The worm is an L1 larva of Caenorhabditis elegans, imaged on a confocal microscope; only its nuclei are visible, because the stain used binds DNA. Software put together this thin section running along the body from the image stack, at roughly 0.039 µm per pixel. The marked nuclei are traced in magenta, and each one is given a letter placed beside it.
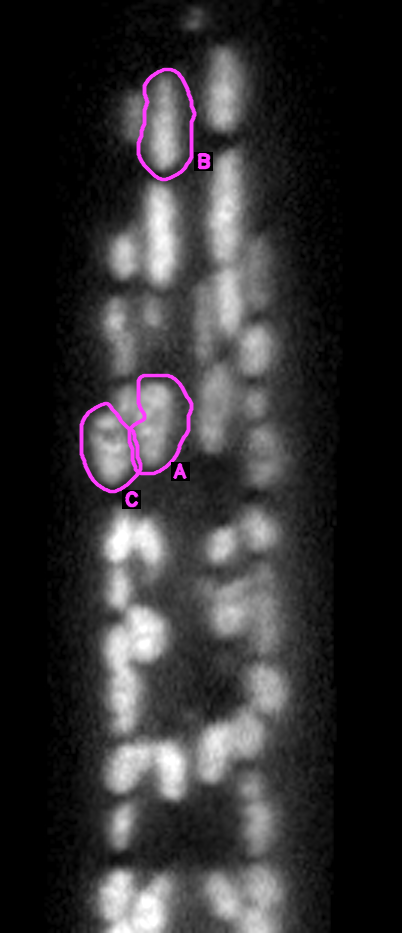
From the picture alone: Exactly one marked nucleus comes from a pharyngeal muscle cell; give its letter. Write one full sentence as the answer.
It is A that belongs to a pharyngeal muscle cell.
